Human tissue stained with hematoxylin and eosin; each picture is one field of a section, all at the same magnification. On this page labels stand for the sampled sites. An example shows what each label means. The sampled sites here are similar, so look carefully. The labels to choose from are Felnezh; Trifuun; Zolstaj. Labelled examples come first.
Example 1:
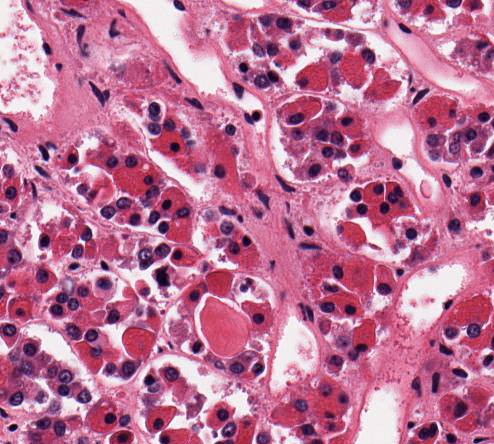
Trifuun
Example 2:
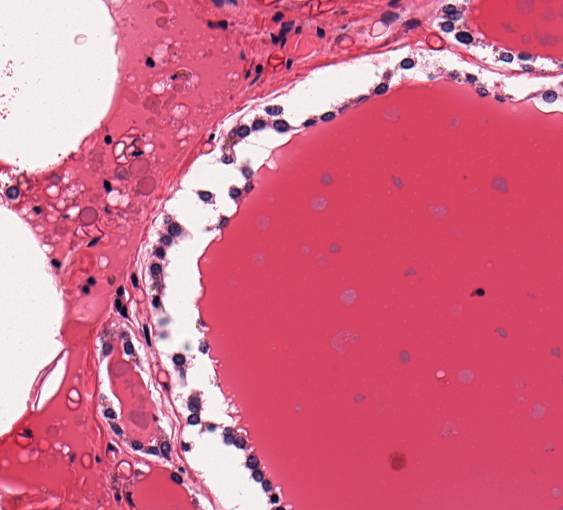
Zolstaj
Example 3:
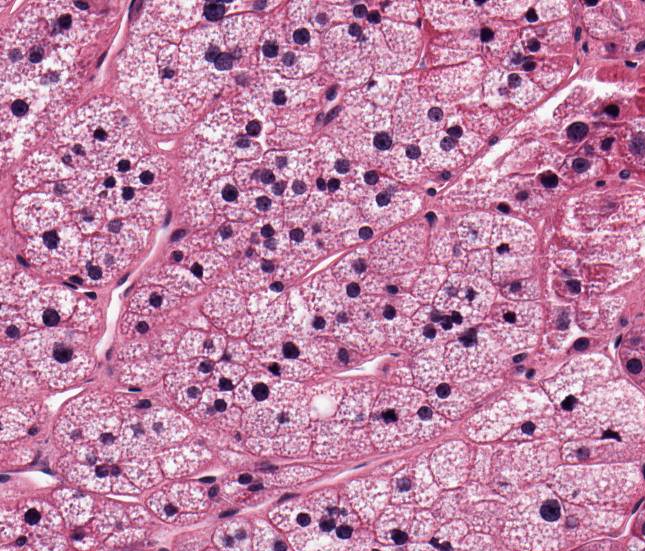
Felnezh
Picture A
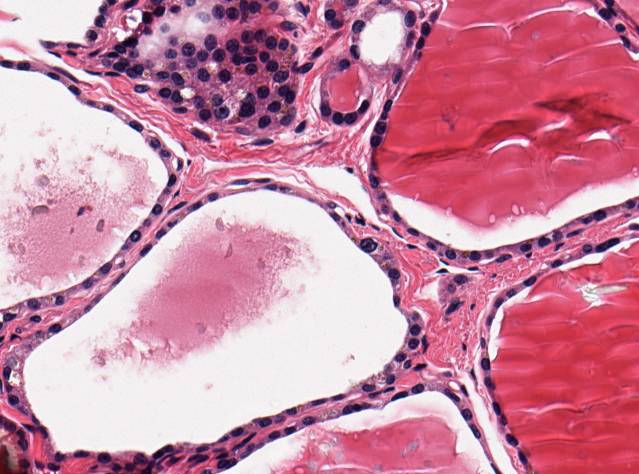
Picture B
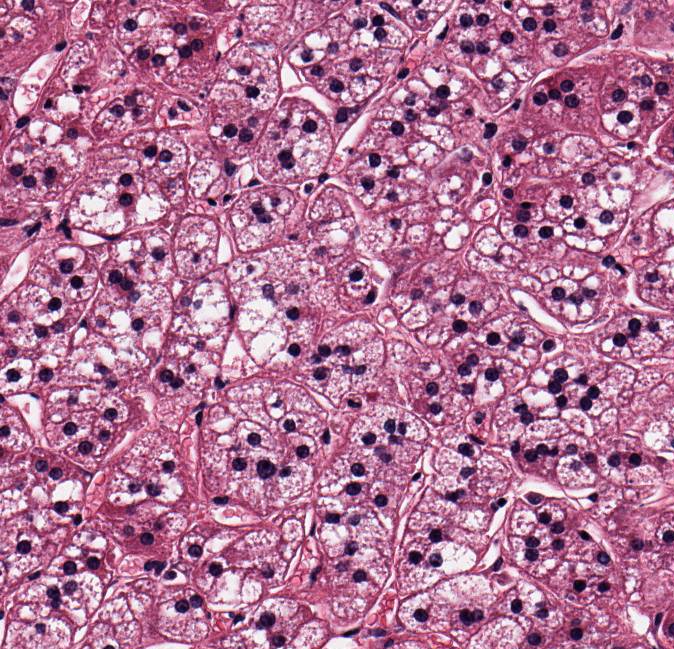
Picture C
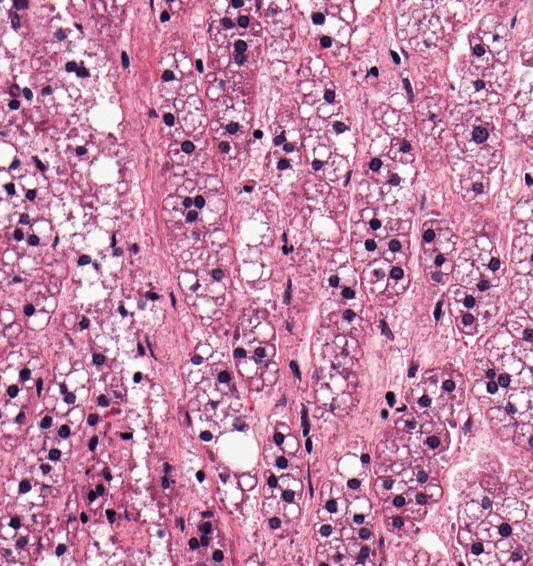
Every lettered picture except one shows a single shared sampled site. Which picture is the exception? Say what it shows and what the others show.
A (Zolstaj) is the exception; every other picture is Felnezh.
